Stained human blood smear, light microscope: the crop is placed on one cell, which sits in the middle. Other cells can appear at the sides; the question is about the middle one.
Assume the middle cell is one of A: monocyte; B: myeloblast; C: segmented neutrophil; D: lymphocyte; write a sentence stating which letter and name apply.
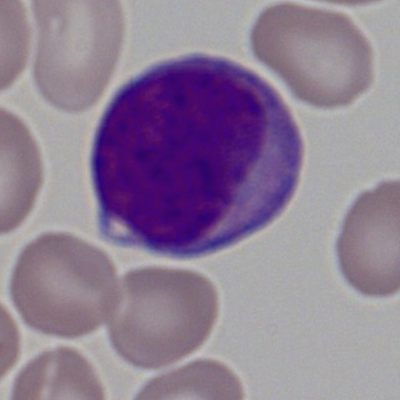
At the centre of the crop lies a myeloblast, which makes option B correct.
